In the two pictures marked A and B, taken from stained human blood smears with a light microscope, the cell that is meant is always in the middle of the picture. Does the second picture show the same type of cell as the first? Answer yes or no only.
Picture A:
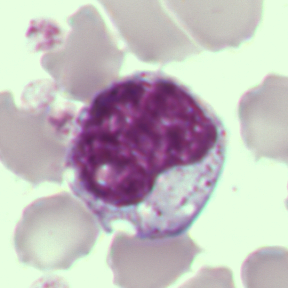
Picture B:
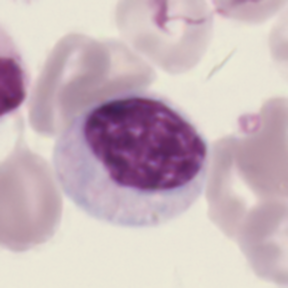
yes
